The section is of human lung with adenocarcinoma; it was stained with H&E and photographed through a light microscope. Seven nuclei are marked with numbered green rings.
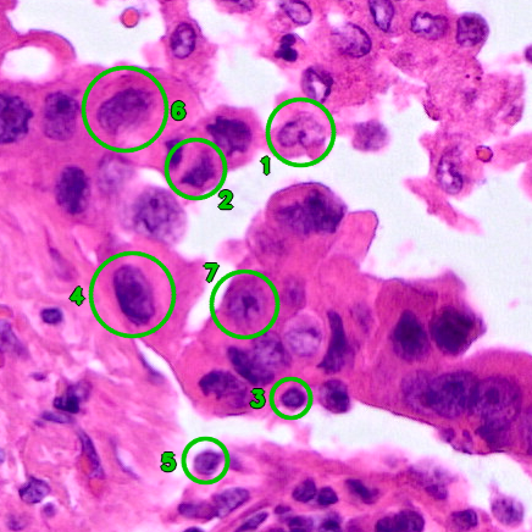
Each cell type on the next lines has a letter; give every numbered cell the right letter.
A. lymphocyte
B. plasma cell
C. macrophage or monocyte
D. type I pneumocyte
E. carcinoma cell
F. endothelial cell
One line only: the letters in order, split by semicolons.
C; E; A; E; A; E; E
